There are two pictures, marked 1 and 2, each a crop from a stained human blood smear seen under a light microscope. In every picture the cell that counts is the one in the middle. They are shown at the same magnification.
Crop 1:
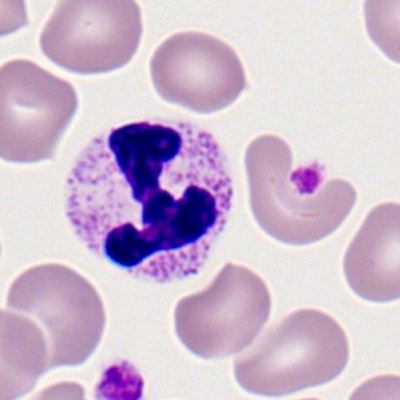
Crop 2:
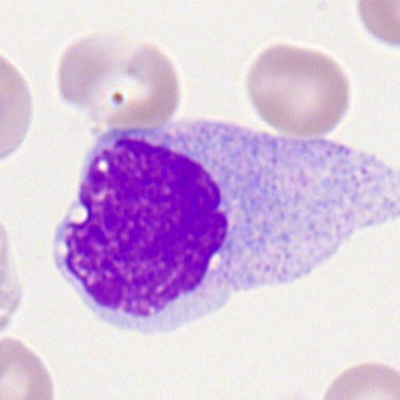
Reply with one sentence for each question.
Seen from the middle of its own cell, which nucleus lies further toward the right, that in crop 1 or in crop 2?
Seen within its cell, the nucleus in crop 1 lies further toward the right.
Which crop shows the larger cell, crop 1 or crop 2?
Crop 2 holds the larger cell; it covers about 2.5 times the area of the cell in crop 1.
